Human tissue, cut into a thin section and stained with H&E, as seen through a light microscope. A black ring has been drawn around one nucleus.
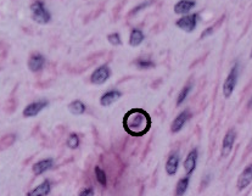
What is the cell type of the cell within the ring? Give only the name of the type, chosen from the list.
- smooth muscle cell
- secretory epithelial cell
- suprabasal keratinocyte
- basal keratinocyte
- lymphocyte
smooth muscle cell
